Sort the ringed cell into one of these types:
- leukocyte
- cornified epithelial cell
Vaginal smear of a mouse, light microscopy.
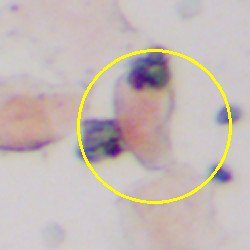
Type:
cornified epithelial cell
